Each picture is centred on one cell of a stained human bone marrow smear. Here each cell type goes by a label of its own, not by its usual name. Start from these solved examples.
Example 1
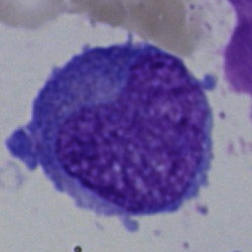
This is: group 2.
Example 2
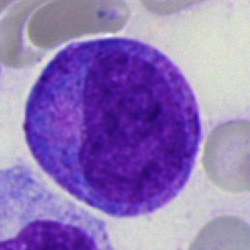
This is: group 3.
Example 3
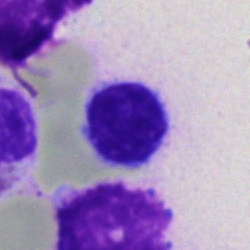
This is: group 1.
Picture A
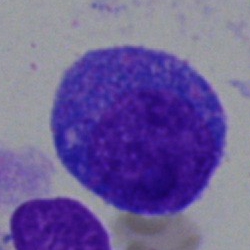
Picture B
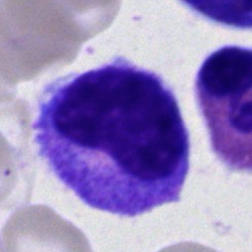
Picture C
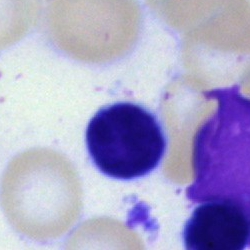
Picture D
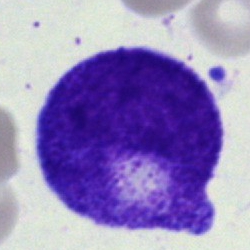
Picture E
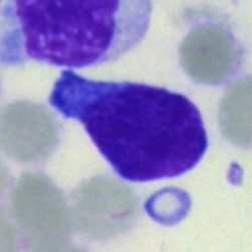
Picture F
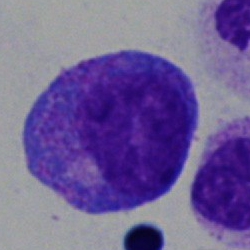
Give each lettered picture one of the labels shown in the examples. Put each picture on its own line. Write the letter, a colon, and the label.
A: group 3.
B: group 3.
C: group 1.
D: group 3.
E: group 2.
F: group 3.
